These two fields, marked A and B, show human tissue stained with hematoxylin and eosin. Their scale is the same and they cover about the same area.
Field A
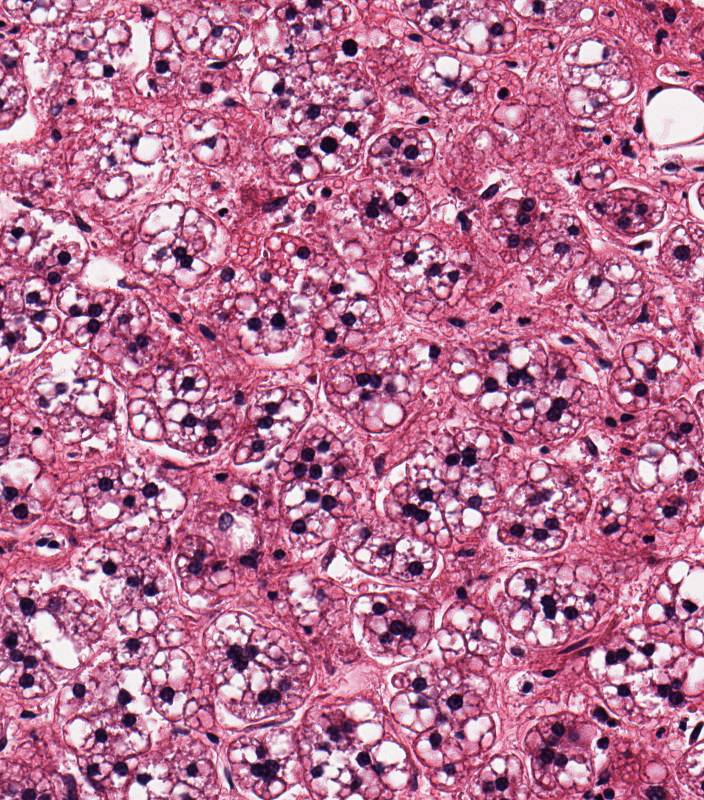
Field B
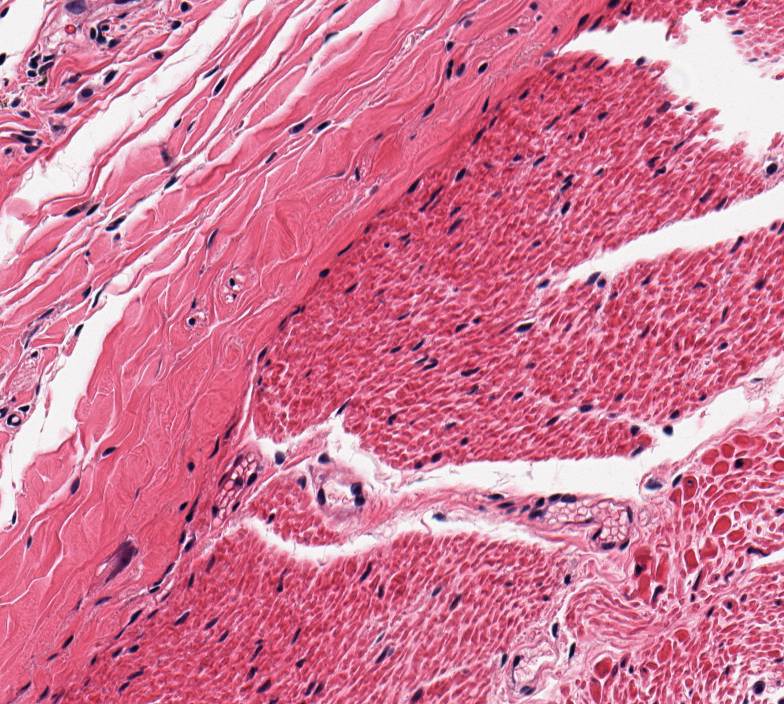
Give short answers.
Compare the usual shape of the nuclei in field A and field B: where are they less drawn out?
A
